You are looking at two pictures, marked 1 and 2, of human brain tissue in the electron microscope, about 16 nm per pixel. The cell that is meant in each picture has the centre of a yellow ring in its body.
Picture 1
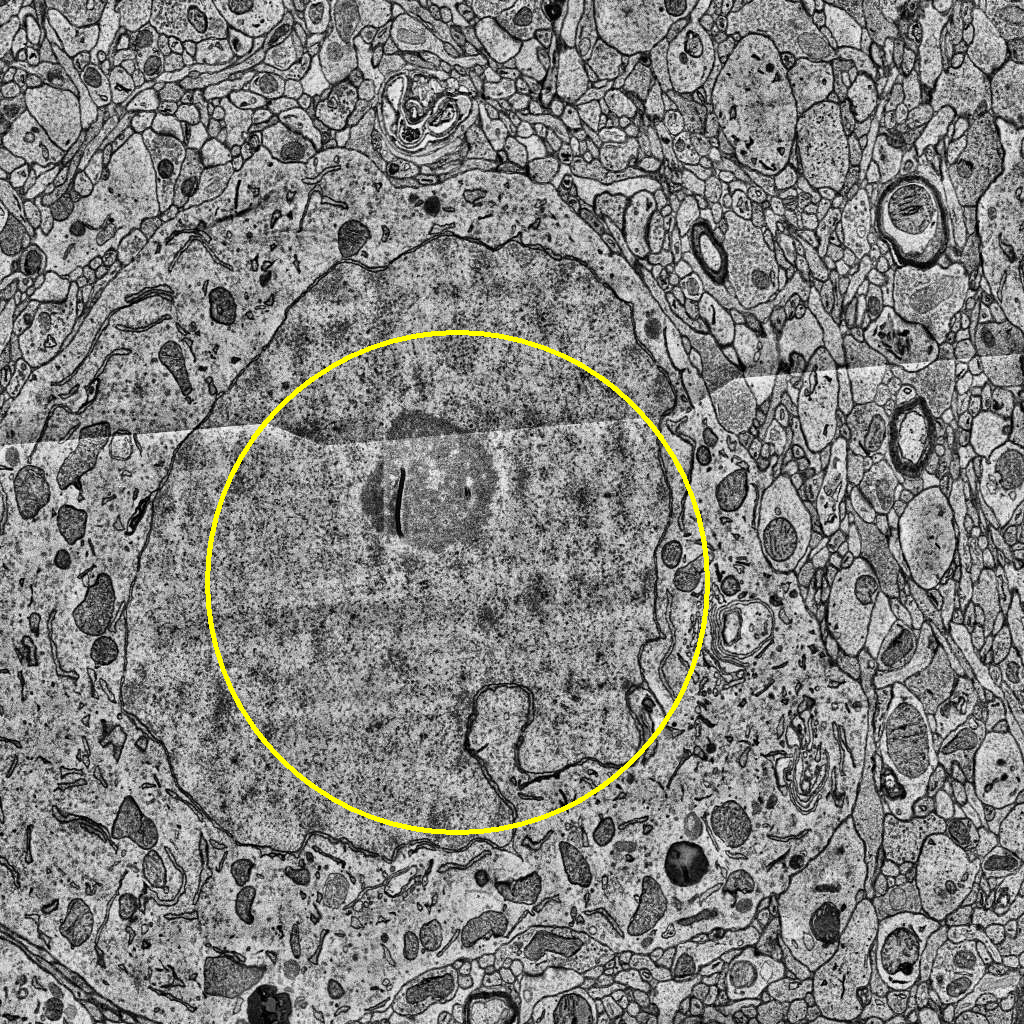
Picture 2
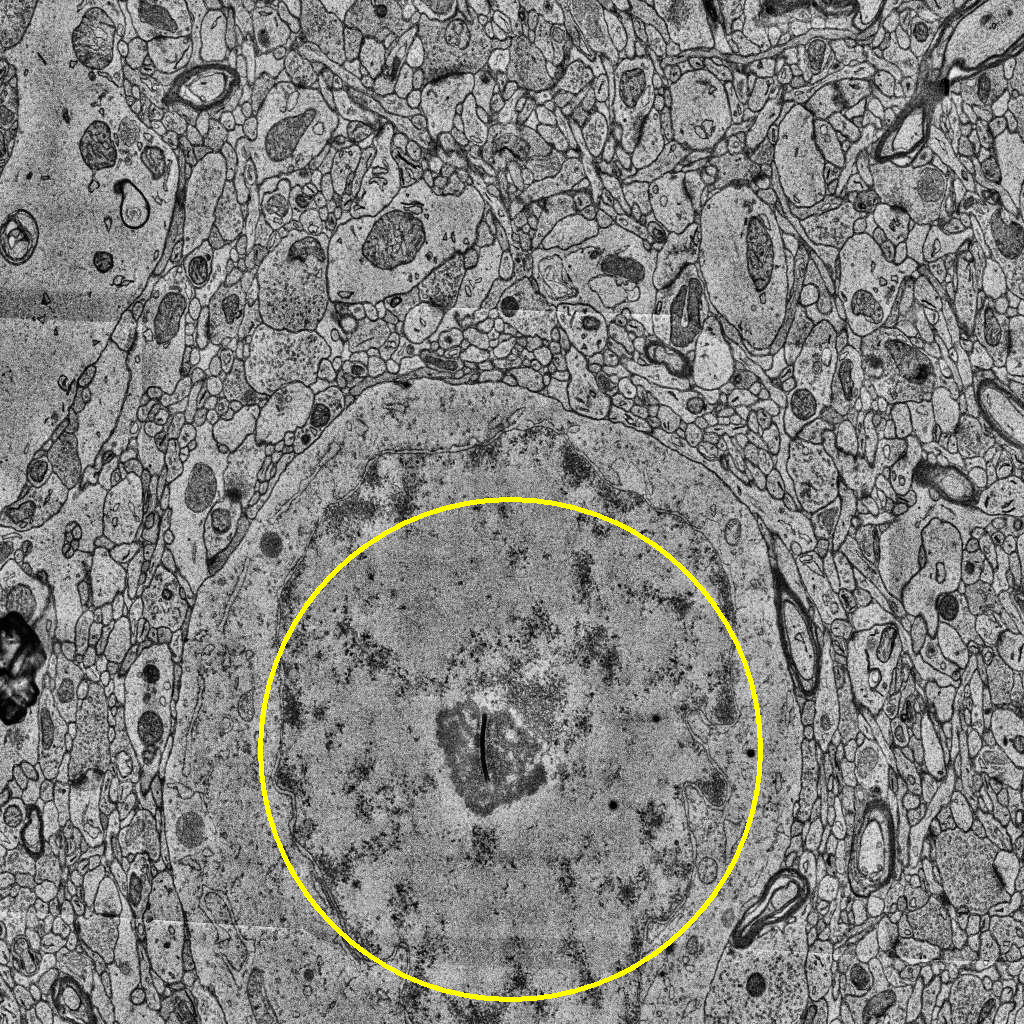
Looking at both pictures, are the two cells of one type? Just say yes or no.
yes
